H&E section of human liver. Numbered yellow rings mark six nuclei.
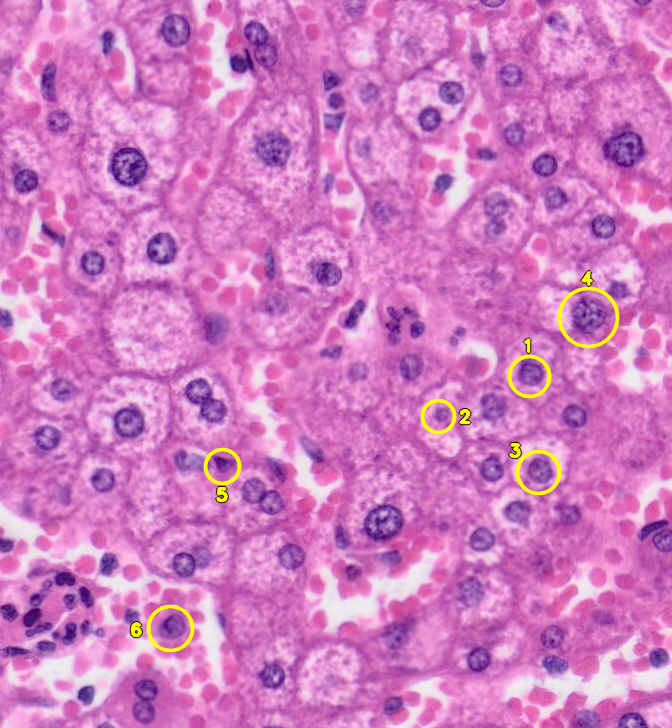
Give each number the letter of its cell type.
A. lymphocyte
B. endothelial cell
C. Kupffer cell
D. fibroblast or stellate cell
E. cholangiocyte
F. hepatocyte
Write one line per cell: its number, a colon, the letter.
1: F
2: F
3: F
4: F
5: D
6: C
